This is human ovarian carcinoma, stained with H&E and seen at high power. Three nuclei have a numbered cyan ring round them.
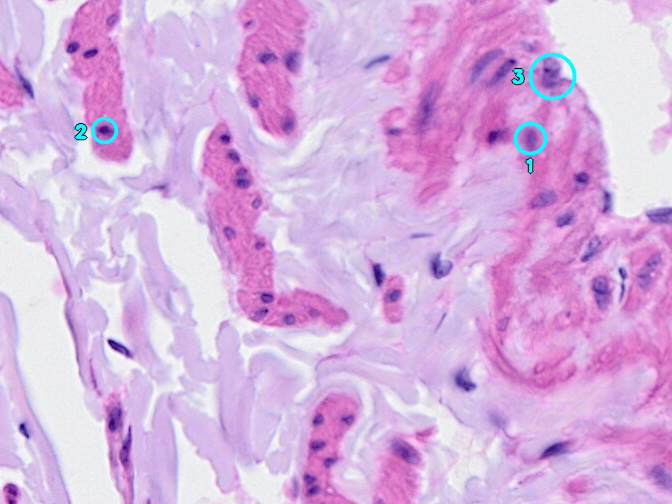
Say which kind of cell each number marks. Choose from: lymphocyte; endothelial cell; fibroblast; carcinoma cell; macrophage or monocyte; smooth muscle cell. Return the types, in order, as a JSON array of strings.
["smooth muscle cell", "smooth muscle cell", "endothelial cell"]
